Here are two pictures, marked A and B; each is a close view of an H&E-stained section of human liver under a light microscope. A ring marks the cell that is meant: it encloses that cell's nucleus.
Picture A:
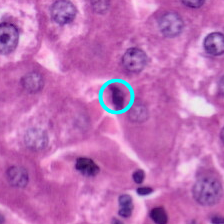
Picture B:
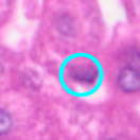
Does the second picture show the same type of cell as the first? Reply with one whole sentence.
Yes, both cells are Kupffer cells.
